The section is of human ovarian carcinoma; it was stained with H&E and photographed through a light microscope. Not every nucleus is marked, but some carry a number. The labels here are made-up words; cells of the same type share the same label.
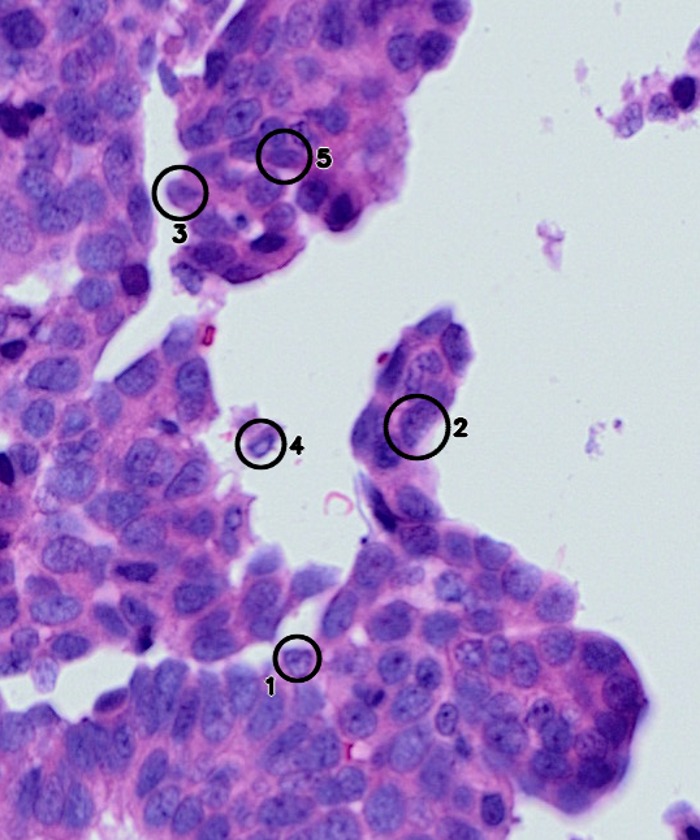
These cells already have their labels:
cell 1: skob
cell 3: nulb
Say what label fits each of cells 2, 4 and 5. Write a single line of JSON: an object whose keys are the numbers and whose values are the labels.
{"2": "nulb", "4": "skob", "5": "nulb"}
